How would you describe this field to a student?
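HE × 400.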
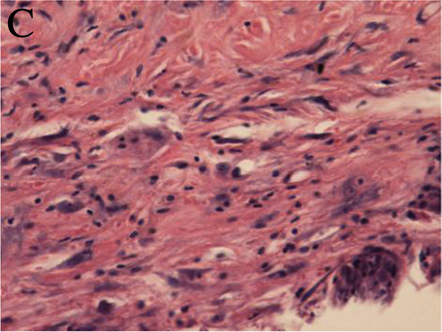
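The collagen is crowded and wavy, running in irregular directions rather than in orderly bundles. Many cells are scattered densely among the fibers, with nuclei that are elongated, irregular or small and very dark. A few larger cells with more abundant purple cytoplasm stand out among them. Narrow clear slits open between the fibers, and at the bottom edge lies a small clump of darkly stained cells.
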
